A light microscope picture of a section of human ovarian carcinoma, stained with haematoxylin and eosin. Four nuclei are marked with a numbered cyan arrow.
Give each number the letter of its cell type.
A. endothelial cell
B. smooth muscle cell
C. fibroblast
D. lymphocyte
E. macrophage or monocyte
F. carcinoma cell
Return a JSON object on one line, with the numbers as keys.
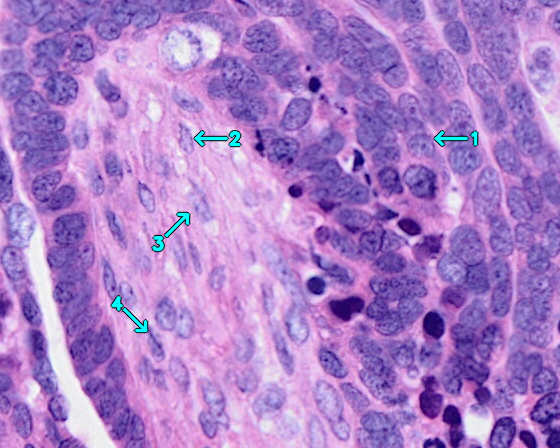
{"1": "F", "2": "C", "3": "C", "4": "C"}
